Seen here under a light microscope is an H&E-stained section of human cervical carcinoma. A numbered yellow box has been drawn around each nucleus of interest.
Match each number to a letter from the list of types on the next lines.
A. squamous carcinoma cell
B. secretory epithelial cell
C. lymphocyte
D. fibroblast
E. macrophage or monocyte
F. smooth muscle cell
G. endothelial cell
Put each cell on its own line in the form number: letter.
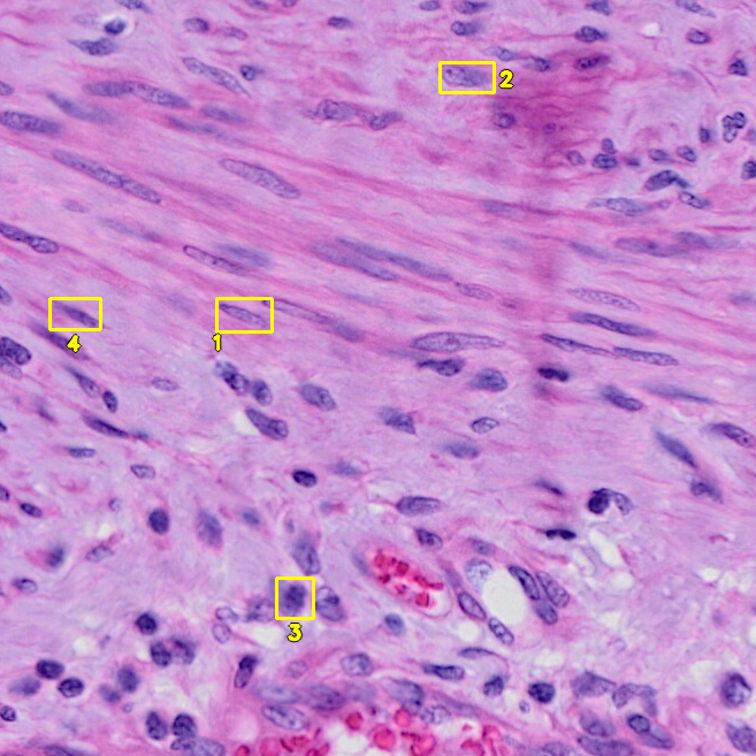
1: F
2: F
3: C
4: F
